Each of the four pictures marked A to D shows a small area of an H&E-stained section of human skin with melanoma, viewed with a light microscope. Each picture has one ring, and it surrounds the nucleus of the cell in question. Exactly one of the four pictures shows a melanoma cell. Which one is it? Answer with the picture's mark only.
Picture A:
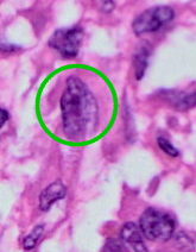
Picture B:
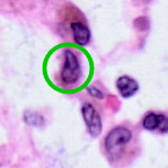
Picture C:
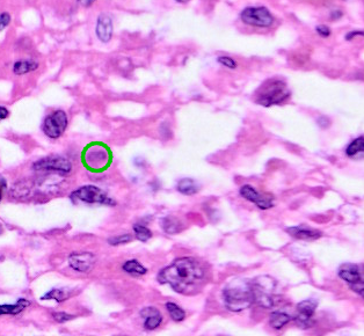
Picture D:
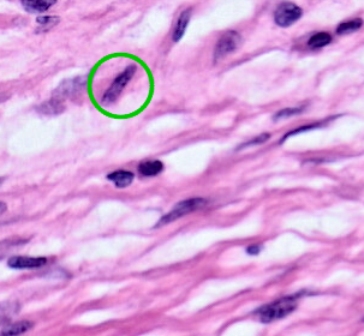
A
